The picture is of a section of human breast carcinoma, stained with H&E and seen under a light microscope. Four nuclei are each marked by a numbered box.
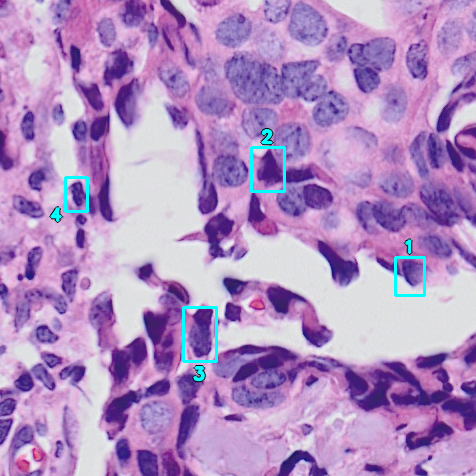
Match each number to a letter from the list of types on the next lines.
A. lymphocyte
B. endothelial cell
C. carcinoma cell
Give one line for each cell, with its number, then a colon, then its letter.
1: C
2: C
3: C
4: A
